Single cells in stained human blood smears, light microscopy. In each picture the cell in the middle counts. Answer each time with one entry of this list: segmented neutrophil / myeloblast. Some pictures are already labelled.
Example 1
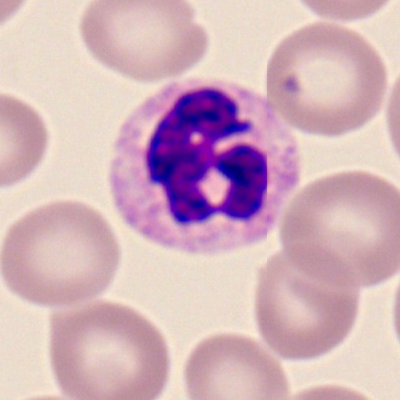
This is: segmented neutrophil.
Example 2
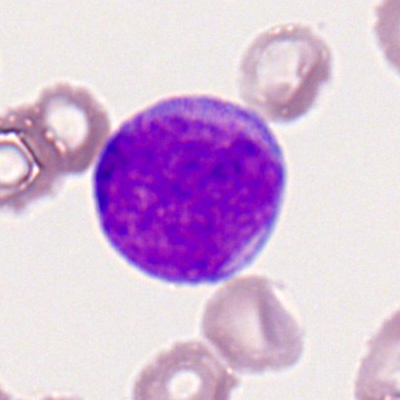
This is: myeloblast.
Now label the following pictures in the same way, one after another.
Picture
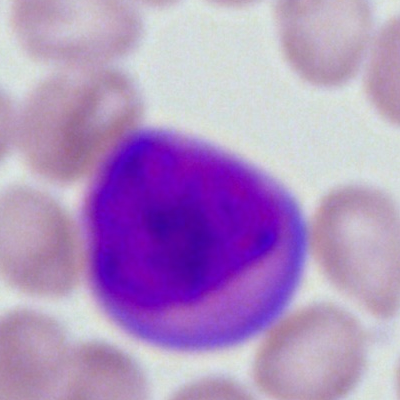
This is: myeloblast.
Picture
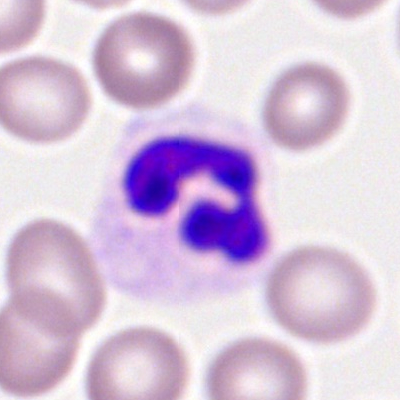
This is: segmented neutrophil.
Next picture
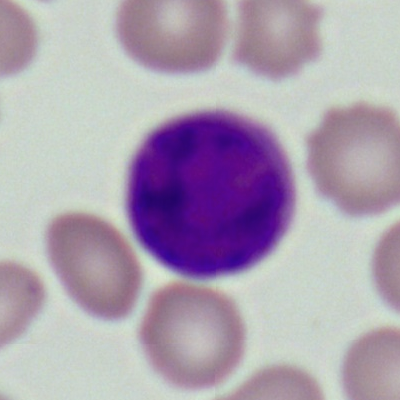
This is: myeloblast.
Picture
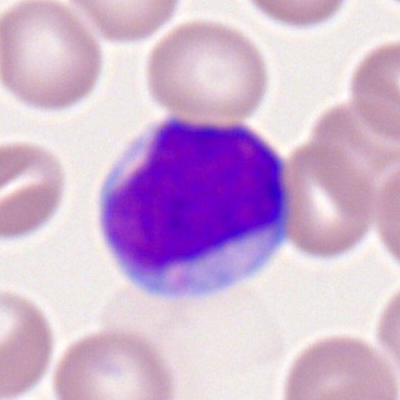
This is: myeloblast.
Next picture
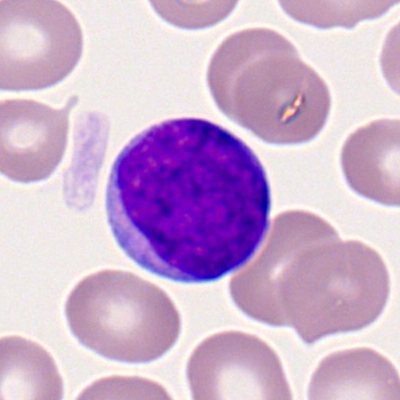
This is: myeloblast.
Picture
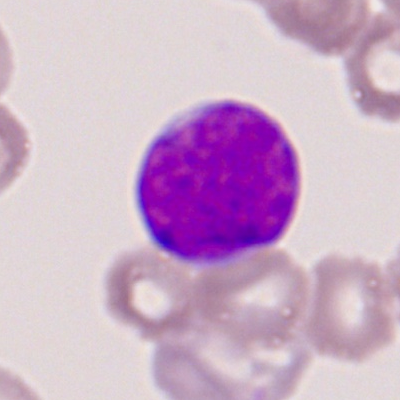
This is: myeloblast.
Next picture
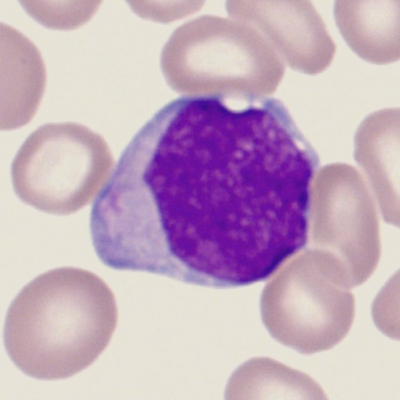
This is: myeloblast.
